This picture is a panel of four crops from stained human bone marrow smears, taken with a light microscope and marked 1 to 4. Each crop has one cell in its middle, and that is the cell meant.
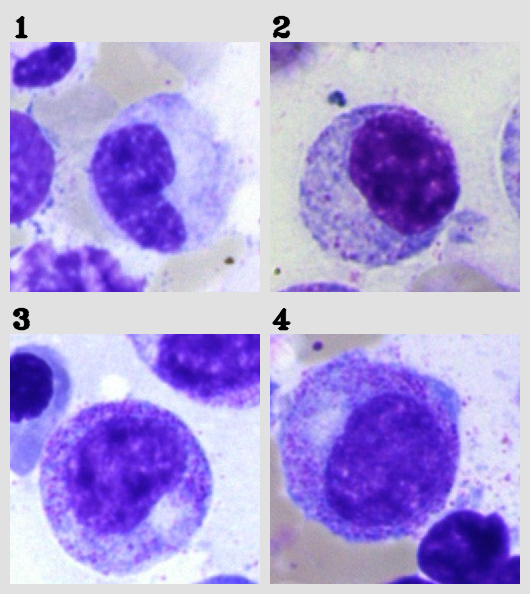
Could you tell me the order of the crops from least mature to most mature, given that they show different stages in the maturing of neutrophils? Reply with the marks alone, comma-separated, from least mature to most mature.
4, 2, 3, 1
